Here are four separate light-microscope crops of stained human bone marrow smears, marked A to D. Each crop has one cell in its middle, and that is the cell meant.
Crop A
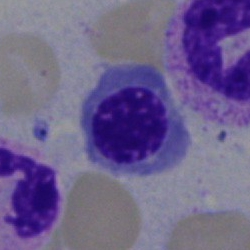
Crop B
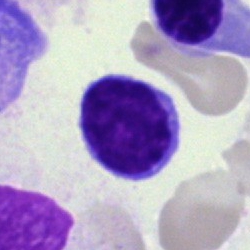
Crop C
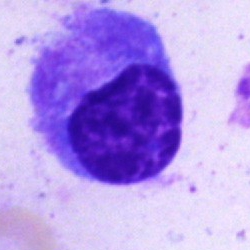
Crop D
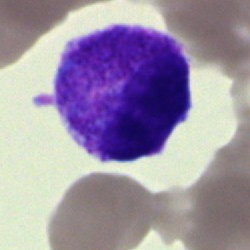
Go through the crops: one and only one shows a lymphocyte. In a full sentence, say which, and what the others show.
In crop B, a lymphocyte is the cell shown, while crop A is a normoblast, crop C is a plasma cell and crop D is a blast.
